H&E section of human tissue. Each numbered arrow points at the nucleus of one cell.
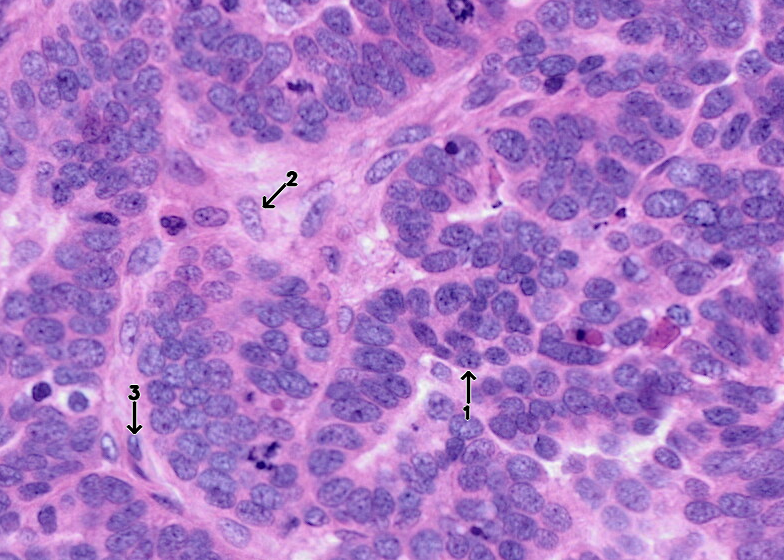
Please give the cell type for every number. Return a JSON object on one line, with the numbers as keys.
{"1": "carcinoma cell", "2": "fibroblast", "3": "fibroblast"}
